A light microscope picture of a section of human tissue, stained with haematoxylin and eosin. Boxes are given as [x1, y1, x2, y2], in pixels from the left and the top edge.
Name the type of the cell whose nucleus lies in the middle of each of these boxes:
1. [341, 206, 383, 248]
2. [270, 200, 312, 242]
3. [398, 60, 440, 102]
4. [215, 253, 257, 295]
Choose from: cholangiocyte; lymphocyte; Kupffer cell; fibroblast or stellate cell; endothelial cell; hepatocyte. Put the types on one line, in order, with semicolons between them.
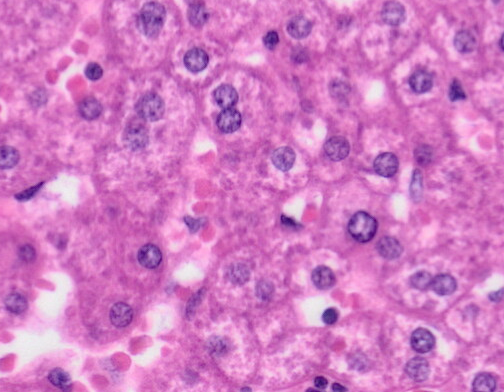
hepatocyte; endothelial cell; hepatocyte; hepatocyte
